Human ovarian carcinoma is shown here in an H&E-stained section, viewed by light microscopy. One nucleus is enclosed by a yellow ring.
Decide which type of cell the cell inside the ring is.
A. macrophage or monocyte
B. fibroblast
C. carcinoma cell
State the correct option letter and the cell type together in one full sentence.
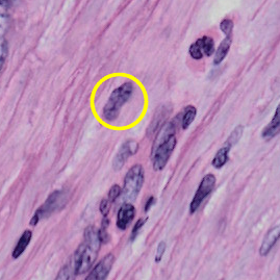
Exactly as option A gives it, the cell inside the ring is a macrophage or monocyte.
